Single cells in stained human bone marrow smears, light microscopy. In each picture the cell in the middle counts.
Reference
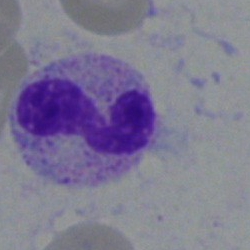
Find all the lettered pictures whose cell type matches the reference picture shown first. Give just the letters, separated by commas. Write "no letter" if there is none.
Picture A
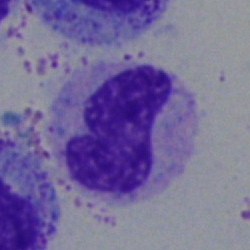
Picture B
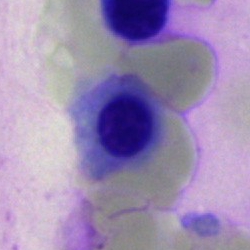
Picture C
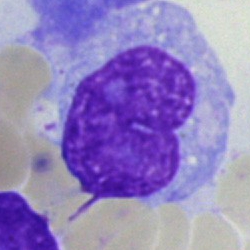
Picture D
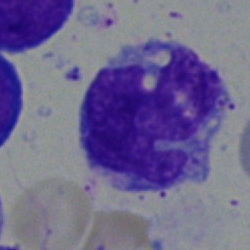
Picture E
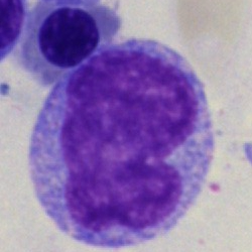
A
